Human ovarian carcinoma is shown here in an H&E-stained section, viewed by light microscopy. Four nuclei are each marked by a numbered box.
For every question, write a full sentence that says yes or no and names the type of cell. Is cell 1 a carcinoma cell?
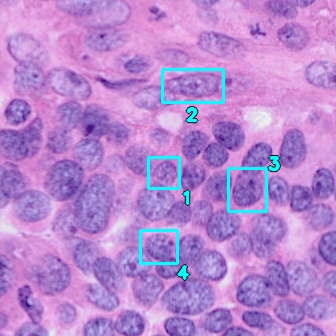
Yes, that is correct: the cell numbered 1 is a carcinoma cell.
